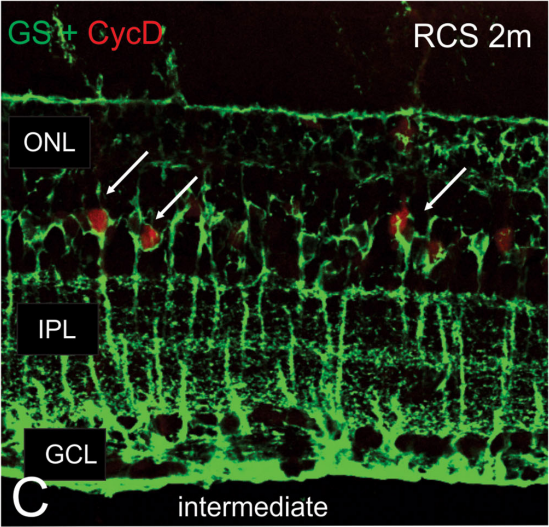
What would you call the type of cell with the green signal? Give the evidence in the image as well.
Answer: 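Müller cells. Green radial stalks span from the inner surface to the outer limit of the retina. Green endfeet form a bright band along the inner (bottom) surface. Green fine processes form a meshwork around cell bodies in the outer layers.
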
